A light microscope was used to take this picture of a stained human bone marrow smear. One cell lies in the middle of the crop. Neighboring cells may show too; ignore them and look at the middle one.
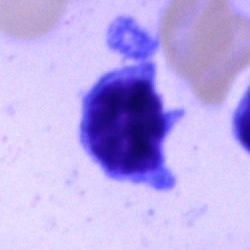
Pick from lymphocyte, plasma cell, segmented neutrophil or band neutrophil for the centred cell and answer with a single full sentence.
Here the centrally located cell is a lymphocyte.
